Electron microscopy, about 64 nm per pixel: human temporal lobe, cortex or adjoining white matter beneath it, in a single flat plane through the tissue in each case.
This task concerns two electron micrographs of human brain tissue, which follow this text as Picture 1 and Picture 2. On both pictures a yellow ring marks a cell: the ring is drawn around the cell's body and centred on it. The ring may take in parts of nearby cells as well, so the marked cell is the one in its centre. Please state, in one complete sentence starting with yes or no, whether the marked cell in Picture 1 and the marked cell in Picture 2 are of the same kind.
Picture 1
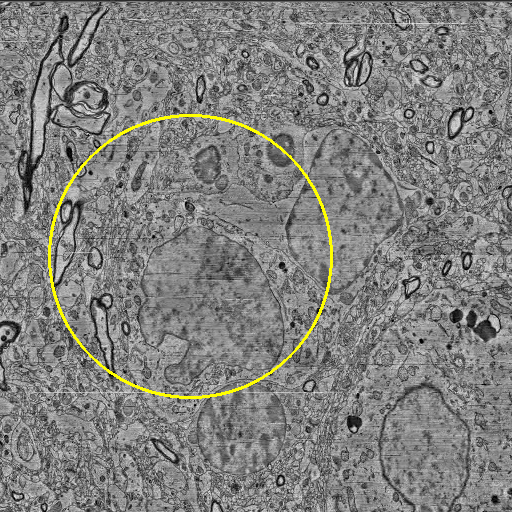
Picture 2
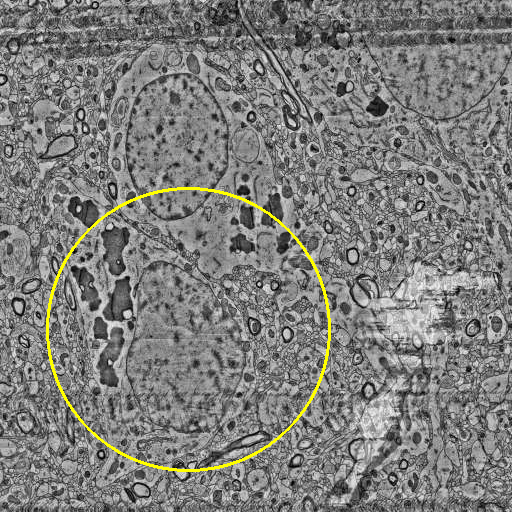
Yes, the marked cells in both pictures are of the same kind.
